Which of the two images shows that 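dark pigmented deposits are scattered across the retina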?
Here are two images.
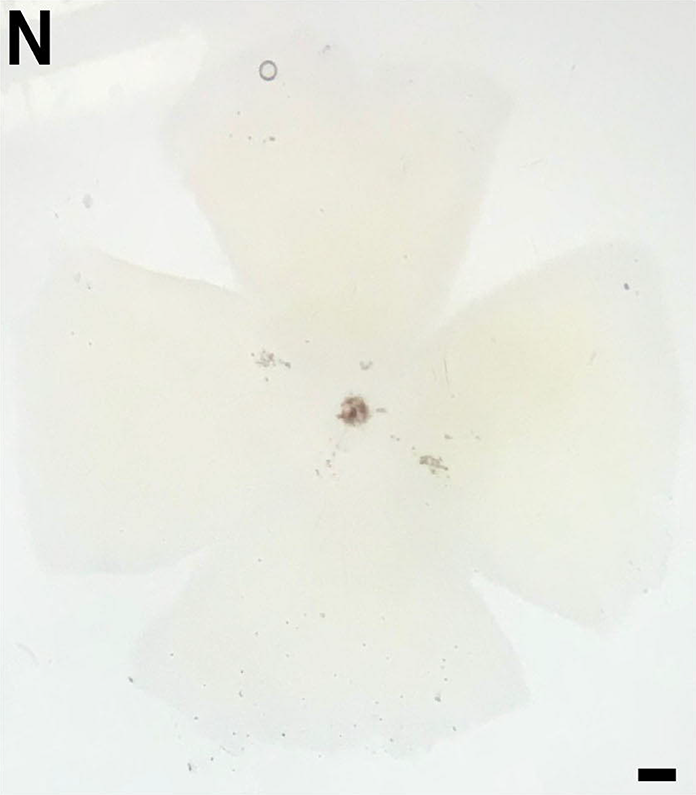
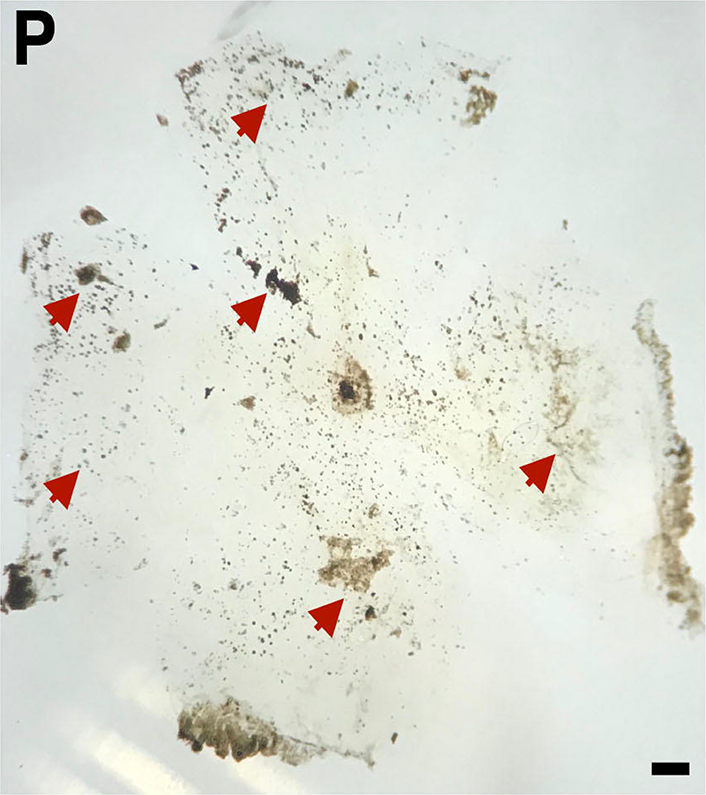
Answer: The second image.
